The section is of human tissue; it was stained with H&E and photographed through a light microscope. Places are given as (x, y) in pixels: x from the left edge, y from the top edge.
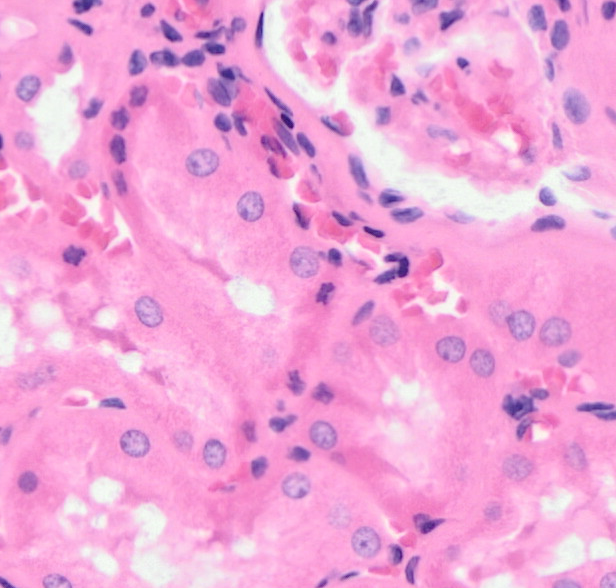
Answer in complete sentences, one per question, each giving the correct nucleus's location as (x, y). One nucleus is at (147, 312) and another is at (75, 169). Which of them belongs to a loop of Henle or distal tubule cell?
Of the two options, the nucleus at (75, 169) is the one that belongs to a loop of Henle or distal tubule cell.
